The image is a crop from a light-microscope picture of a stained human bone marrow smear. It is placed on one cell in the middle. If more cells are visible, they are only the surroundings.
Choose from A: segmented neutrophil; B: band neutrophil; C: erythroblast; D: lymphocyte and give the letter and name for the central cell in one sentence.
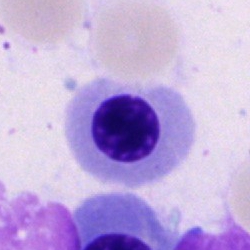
Option C is correct; the cell in the middle is an erythroblast.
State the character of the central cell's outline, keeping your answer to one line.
No surface projections are present; the cell outline is smooth.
